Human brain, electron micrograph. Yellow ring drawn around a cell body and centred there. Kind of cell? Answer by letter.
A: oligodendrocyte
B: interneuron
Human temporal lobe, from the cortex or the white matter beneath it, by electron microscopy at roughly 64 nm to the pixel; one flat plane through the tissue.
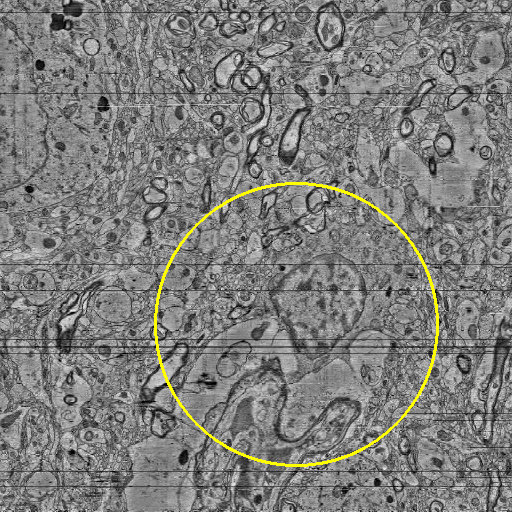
A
